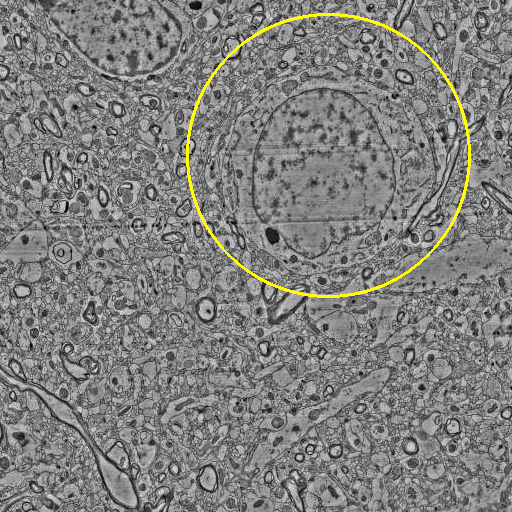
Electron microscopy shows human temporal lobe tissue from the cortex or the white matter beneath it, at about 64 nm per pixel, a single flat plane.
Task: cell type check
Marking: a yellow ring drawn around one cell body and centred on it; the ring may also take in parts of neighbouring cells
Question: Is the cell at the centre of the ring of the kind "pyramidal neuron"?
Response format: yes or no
yes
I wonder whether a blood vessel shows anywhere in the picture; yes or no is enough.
No, no blood vessel shows in the picture.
